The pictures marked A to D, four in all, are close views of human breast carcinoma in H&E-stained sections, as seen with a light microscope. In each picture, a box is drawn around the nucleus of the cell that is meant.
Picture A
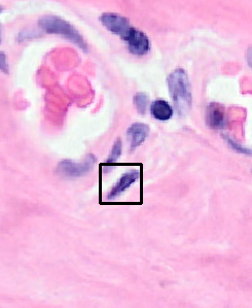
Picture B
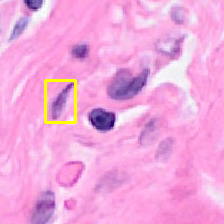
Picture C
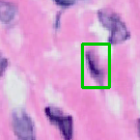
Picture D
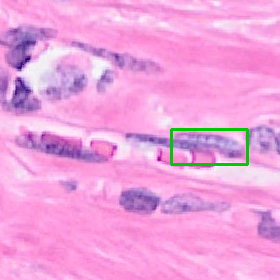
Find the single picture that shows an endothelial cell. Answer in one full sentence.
The picture with the endothelial cell is D.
